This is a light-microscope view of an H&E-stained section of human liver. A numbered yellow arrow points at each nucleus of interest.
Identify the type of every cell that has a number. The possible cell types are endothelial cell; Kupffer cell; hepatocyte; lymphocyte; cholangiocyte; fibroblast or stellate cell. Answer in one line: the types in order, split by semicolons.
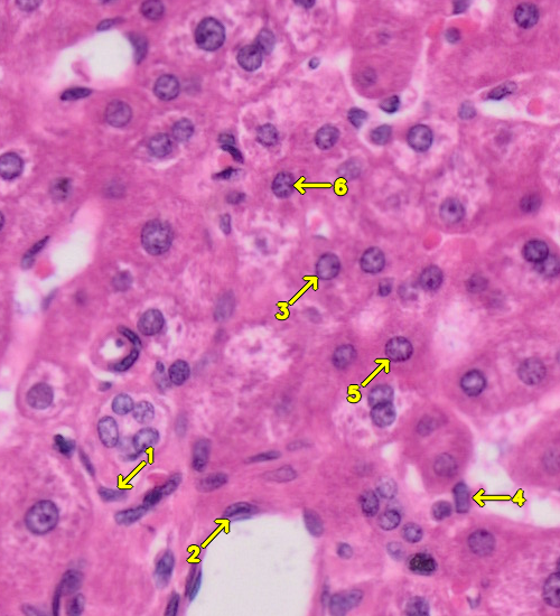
fibroblast or stellate cell; fibroblast or stellate cell; hepatocyte; fibroblast or stellate cell; hepatocyte; hepatocyte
